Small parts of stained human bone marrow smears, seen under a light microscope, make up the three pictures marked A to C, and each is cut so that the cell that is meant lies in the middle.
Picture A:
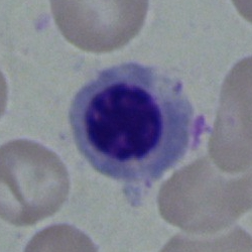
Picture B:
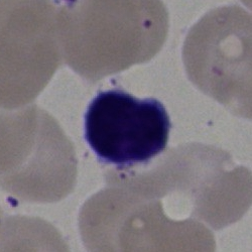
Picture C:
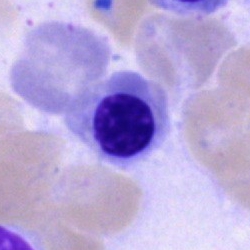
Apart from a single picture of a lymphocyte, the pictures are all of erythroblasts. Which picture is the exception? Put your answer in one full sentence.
It is picture B that shows the lymphocyte.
